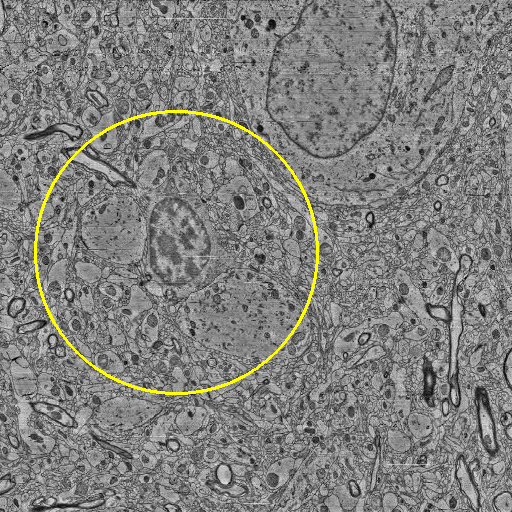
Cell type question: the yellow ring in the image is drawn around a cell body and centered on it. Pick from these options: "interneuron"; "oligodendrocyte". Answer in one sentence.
The ringed cell at the center is an oligodendrocyte.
